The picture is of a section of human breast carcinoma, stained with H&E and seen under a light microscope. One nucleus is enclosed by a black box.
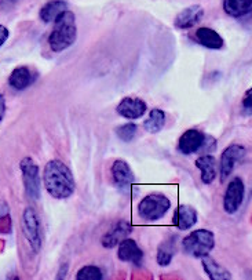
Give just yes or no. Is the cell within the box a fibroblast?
no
